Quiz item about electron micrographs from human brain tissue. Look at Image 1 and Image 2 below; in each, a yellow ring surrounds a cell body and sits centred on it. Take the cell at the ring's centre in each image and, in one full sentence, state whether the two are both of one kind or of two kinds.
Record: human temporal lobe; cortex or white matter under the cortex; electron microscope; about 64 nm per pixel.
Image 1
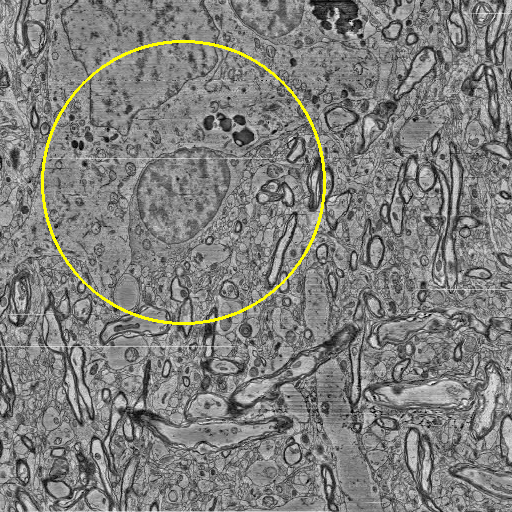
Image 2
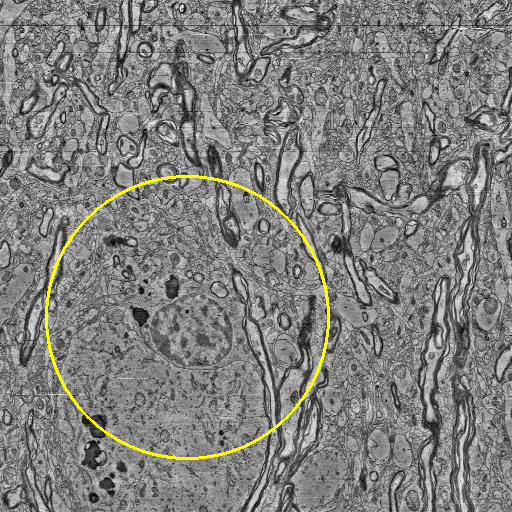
In Image 1 and Image 2, the cells at the ring centres are both of one kind.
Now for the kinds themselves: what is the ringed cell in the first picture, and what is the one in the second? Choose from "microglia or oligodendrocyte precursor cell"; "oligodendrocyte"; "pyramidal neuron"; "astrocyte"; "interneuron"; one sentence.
Each of the two rings is centred on an oligodendrocyte.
